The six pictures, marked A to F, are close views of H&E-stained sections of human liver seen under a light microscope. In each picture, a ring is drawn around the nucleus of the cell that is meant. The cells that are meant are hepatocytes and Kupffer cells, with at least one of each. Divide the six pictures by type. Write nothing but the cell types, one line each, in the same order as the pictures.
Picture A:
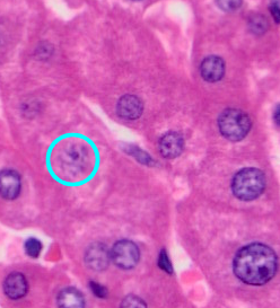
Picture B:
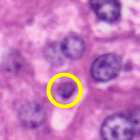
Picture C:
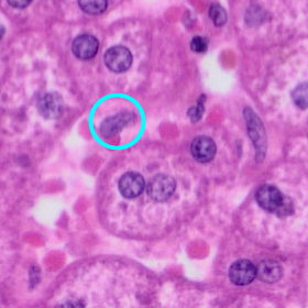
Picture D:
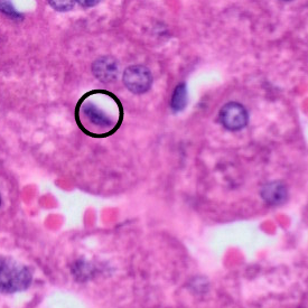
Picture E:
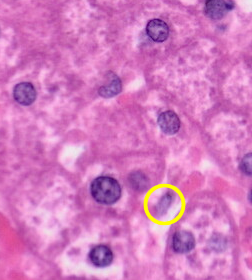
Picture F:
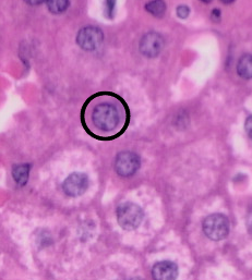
hepatocyte
Kupffer cell
Kupffer cell
Kupffer cell
Kupffer cell
hepatocyte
